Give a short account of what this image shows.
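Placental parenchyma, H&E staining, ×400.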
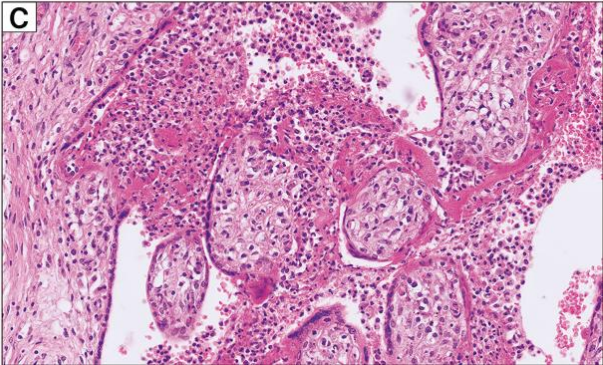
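Rounded chorionic villi with pale, loose stromal cores lie in a space packed with small, dark-nucleated inflammatory cells, a florid intervillositis. The inflammatory cells crowd against the villous surfaces, where the thin covering layer looks damaged and is joined by pink amorphous fibrin-like material; red blood cells fill open spaces at the edges.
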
